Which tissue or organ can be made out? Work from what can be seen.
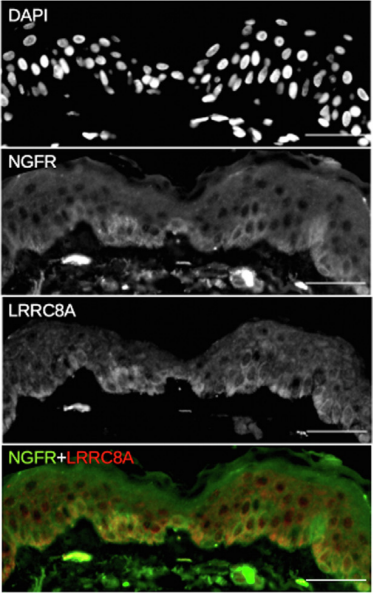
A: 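Skin. A stratified layer of densely packed nuclei forms an undulating band along the top of the section. Below the dense layer lies looser tissue with few, scattered elongated nuclei.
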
